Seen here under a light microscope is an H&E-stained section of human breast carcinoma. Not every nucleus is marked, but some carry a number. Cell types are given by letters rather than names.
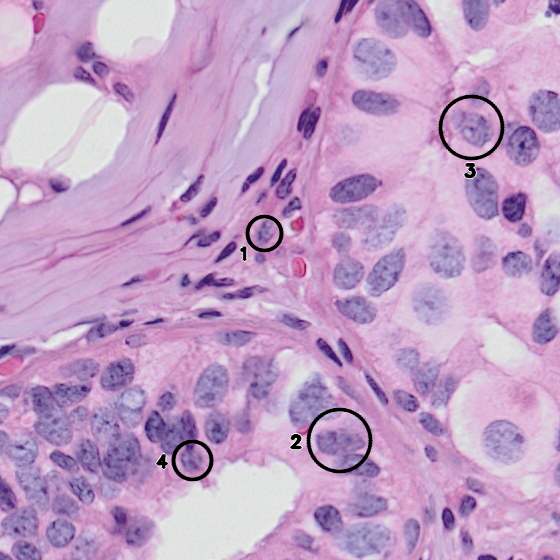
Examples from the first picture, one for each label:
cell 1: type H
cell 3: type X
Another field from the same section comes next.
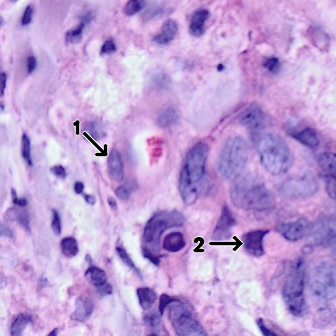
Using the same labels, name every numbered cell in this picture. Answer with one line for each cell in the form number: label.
1: type H
2: type X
